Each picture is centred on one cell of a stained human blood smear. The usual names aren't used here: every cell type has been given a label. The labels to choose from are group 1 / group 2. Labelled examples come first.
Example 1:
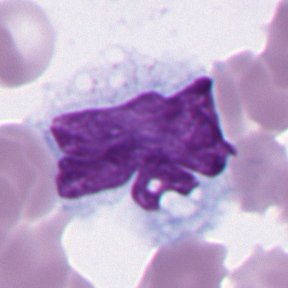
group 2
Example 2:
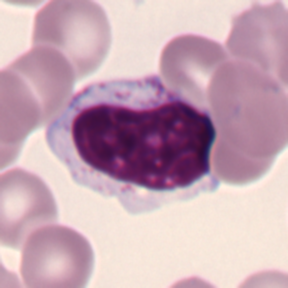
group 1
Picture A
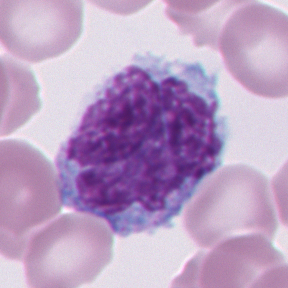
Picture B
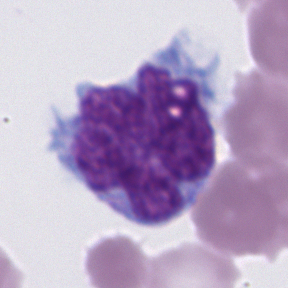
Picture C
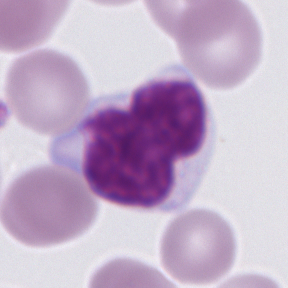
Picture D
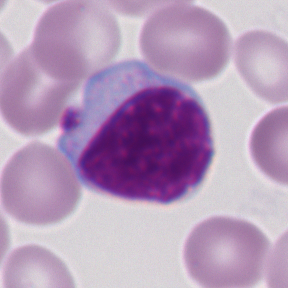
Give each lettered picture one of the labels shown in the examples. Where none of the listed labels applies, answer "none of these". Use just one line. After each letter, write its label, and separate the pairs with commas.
A group 2, B group 2, C group 1, D group 1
